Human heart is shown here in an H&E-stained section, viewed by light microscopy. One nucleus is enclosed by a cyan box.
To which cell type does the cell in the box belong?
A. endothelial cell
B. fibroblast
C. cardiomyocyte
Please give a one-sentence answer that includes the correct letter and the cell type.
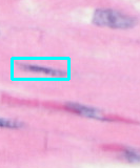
The correct option is B, and the cell in the box is a fibroblast.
